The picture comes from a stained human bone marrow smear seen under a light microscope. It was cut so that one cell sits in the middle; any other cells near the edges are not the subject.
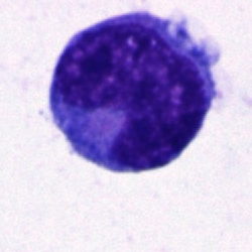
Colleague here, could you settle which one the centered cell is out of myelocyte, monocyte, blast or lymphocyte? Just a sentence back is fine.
Whatever else lies nearby, the middle cell is a blast.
